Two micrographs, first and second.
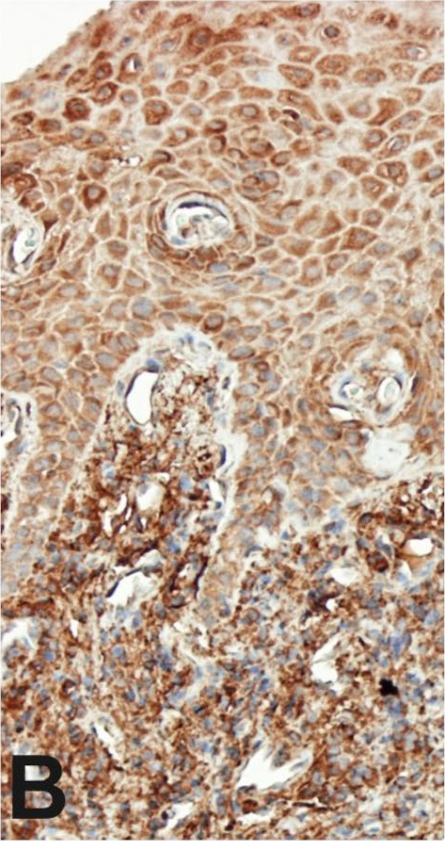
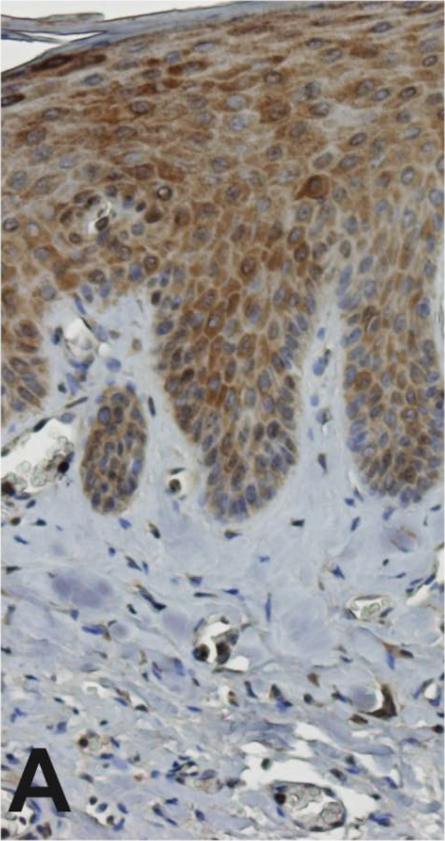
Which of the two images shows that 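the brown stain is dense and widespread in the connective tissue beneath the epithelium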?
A: the first image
